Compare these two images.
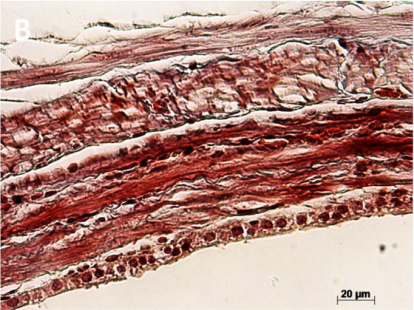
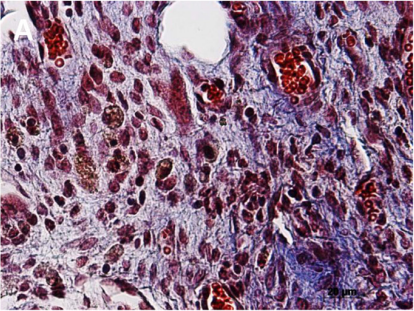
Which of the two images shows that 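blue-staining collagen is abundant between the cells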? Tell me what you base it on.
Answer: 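First image: the tissue is mostly red with little blue. Second image: blue fibrous material is spread widely between the cells. The answer: the second image.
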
